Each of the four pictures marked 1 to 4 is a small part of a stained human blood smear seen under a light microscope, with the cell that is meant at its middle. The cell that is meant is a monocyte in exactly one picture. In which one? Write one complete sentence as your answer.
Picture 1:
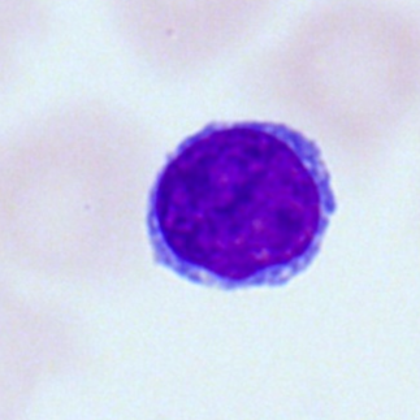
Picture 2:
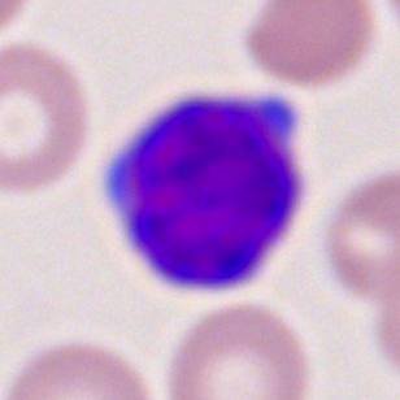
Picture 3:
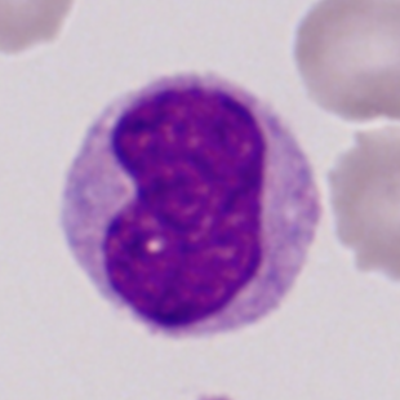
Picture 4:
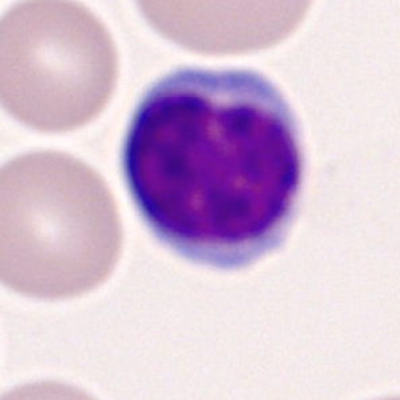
The monocyte is the one in picture 3.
